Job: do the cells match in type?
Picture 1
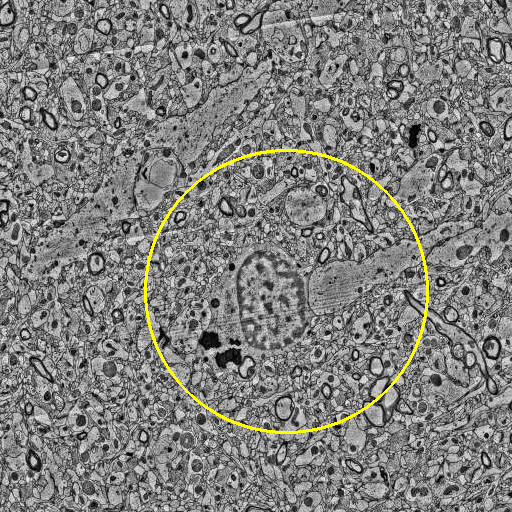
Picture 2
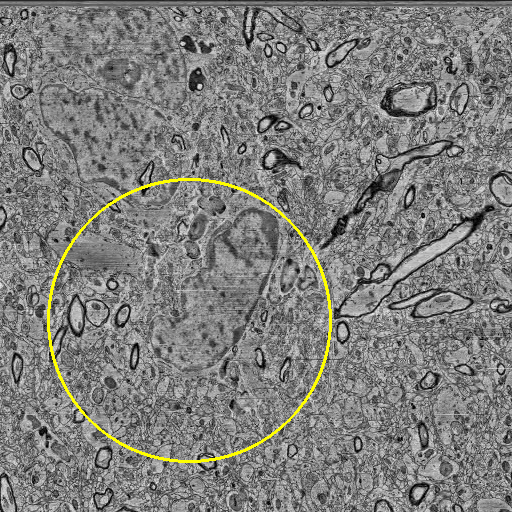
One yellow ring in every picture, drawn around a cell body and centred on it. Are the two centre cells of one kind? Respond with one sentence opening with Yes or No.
No, the ringed cells in the two pictures are of two separate kinds.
